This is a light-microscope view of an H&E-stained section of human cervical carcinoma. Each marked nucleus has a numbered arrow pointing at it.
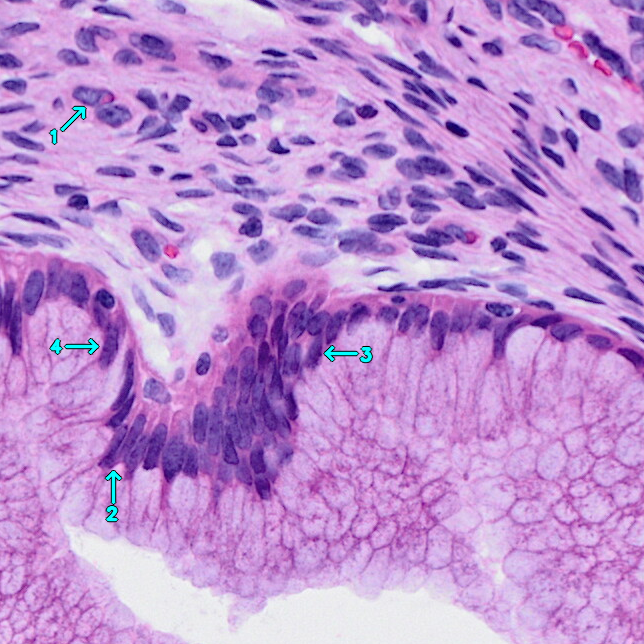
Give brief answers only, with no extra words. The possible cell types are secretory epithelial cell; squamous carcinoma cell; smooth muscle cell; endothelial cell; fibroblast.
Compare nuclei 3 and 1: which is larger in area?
1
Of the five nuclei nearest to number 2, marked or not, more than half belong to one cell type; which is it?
secretory epithelial cell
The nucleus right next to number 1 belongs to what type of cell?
endothelial cell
